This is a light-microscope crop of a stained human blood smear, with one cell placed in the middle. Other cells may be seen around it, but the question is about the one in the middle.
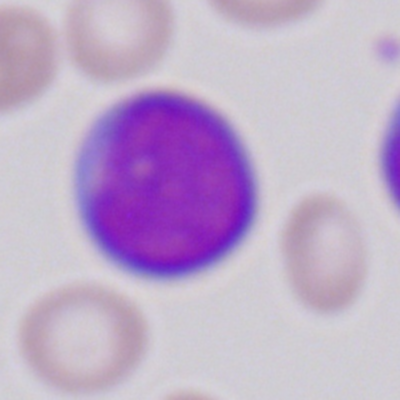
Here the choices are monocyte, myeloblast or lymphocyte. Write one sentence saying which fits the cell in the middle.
The central cell shown in this smear crop is a myeloblast.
